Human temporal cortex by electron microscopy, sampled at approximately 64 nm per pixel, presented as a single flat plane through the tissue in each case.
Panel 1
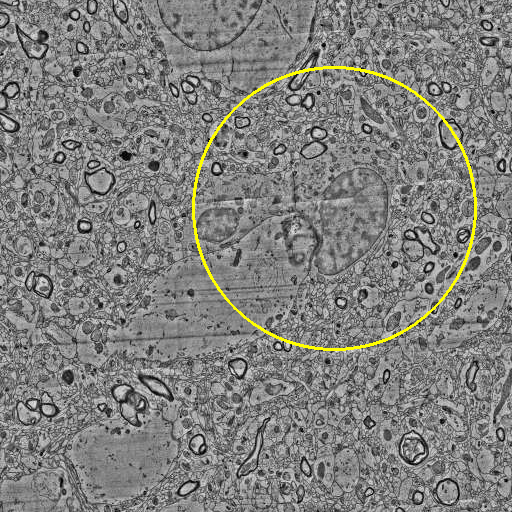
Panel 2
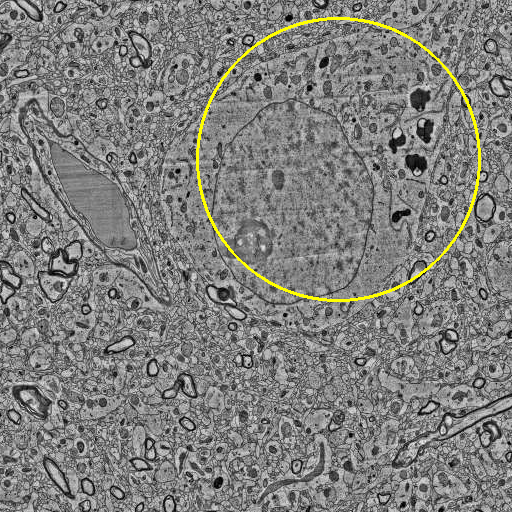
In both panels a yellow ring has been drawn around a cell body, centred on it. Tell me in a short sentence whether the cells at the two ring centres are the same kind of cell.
No, they are two kinds of cell.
